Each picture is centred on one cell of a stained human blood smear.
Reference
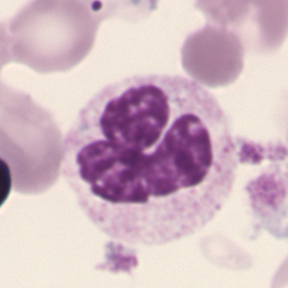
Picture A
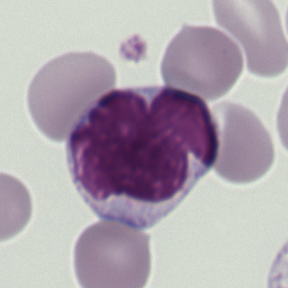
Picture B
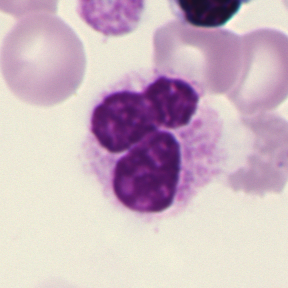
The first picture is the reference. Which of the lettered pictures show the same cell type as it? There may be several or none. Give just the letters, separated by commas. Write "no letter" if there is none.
B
